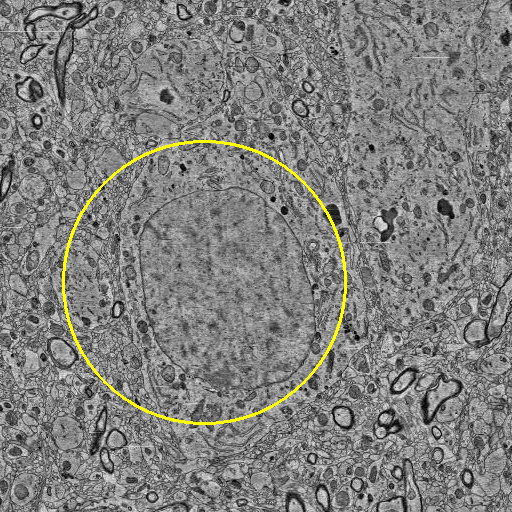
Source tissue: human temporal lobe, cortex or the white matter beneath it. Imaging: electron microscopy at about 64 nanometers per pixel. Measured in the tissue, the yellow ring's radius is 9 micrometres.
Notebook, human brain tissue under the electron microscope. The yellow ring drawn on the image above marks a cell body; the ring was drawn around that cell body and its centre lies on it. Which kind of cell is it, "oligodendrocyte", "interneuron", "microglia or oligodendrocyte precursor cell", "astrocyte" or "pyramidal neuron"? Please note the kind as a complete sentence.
The marked cell body is that of an interneuron.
